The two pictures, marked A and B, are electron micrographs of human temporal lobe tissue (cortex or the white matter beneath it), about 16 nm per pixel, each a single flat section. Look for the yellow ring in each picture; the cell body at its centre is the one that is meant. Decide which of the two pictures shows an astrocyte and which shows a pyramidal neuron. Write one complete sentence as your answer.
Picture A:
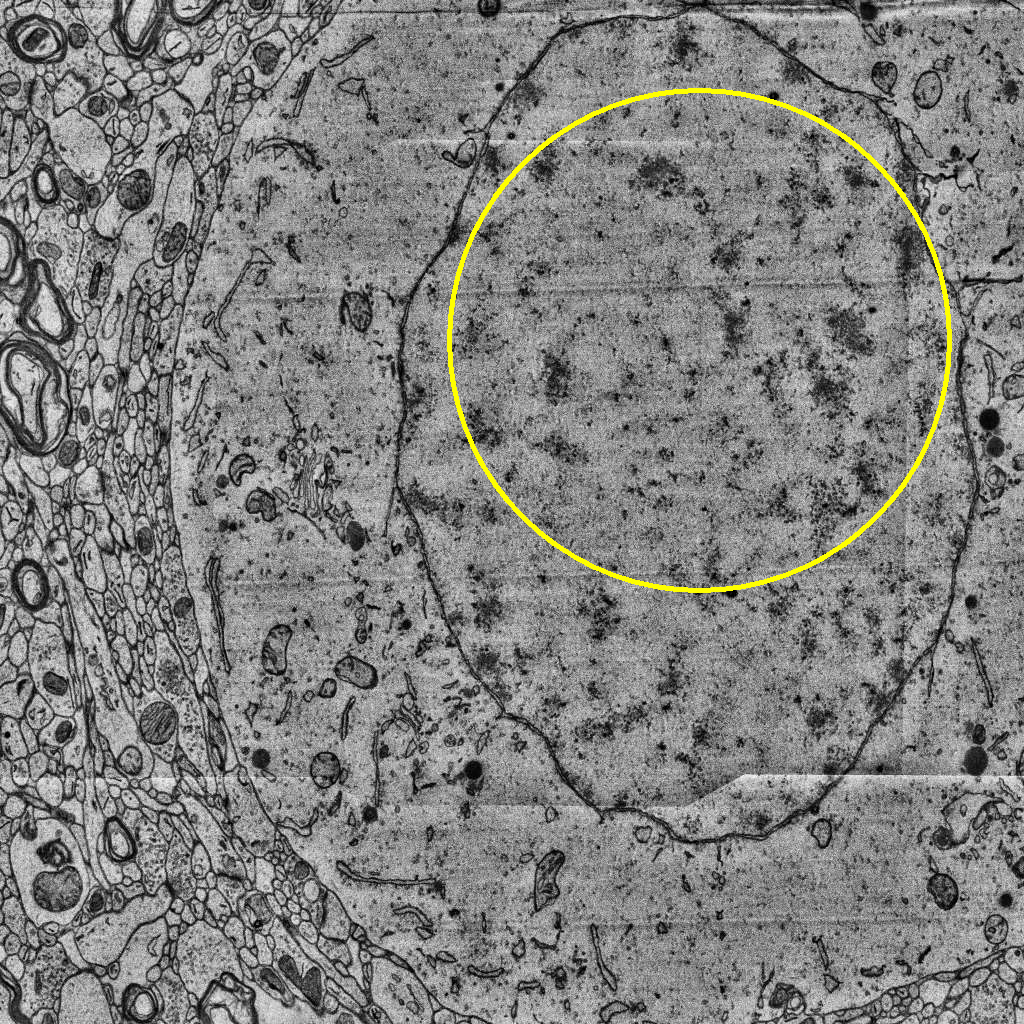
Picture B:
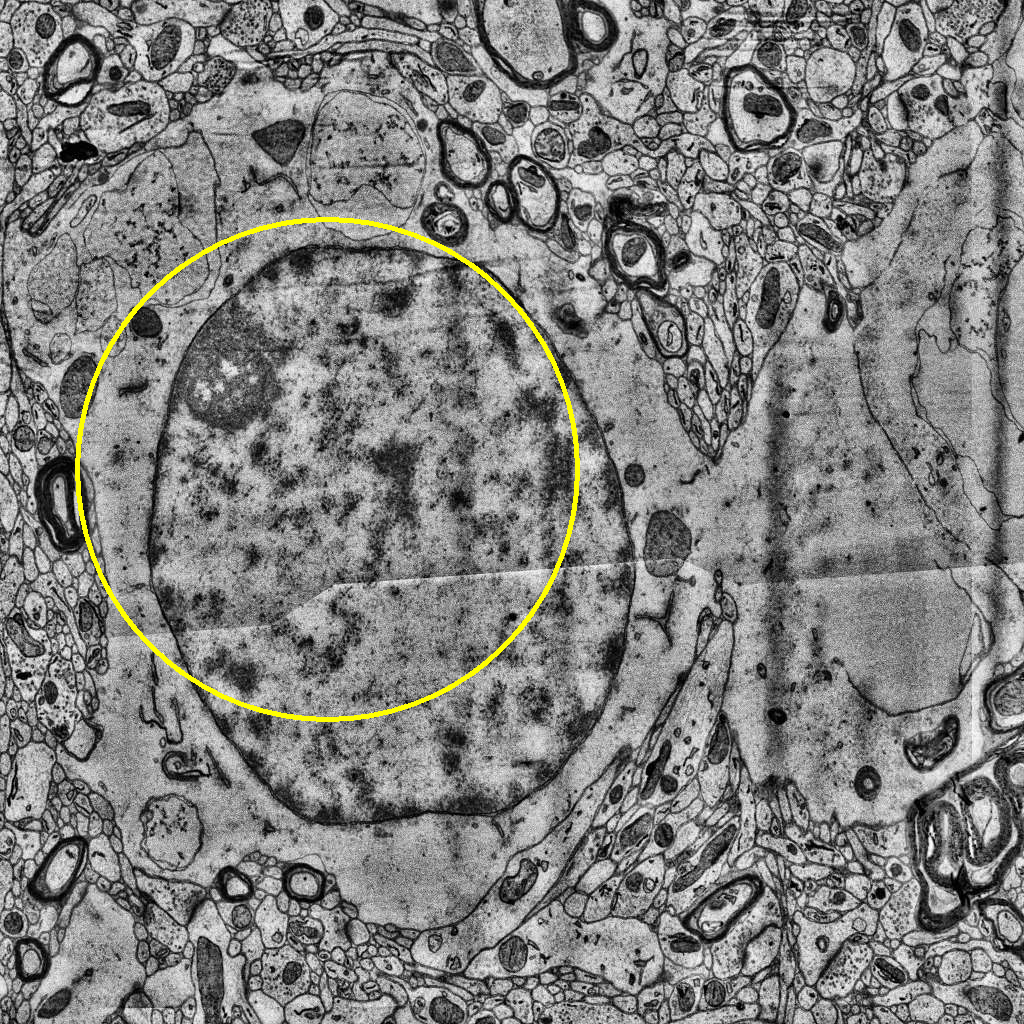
Picture B shows an astrocyte, while picture A shows a pyramidal neuron.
